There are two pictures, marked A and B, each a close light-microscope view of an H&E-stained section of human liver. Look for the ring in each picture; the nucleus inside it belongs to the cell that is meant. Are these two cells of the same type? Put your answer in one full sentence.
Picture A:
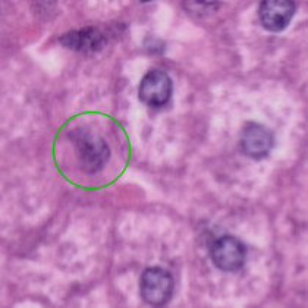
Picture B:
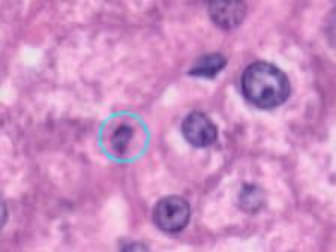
No, they differ: the cell is an endothelial cell in picture A and a “fibroblast or stellate cell” in picture B.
